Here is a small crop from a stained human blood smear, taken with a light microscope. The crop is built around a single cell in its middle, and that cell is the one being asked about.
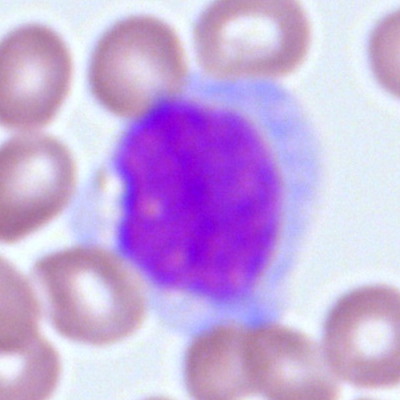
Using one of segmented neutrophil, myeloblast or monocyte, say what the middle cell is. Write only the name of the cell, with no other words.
monocyte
